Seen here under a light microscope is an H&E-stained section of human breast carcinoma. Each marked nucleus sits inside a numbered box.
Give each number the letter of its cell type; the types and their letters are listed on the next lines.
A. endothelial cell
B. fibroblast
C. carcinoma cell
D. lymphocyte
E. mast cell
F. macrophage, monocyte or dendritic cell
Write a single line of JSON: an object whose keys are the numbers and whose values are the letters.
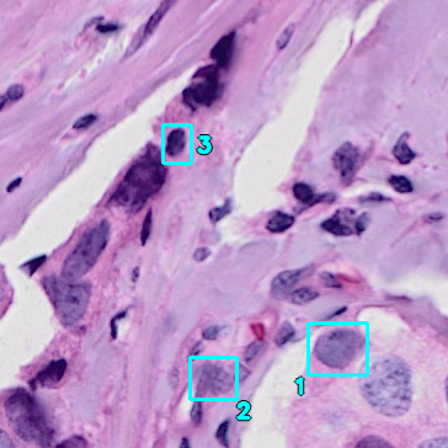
{"1": "C", "2": "A", "3": "D"}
